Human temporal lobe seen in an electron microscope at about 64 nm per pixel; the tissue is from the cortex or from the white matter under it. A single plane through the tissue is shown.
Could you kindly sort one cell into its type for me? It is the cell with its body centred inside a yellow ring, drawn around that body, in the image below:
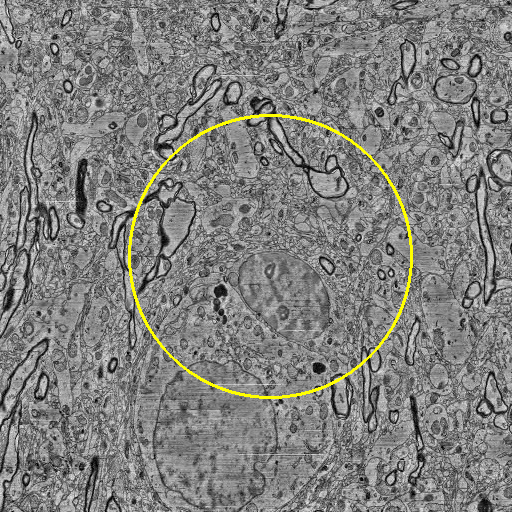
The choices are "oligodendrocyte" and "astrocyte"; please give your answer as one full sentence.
The cell whose body lies centred in the yellow ring here is an oligodendrocyte.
